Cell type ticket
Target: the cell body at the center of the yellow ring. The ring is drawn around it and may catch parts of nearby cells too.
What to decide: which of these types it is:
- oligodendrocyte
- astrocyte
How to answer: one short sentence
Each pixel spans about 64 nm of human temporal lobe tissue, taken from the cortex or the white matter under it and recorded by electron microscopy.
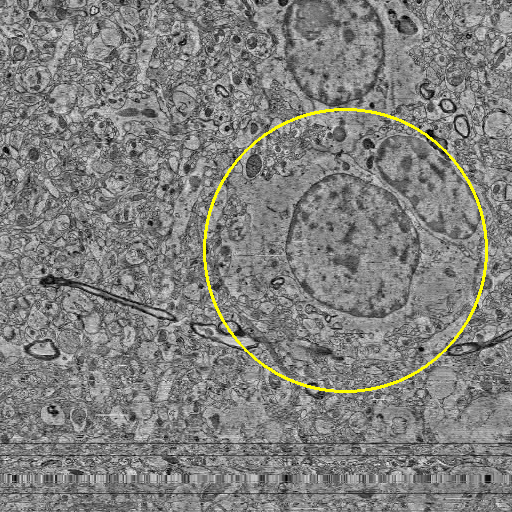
The cell at the center of the ring is an astrocyte.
